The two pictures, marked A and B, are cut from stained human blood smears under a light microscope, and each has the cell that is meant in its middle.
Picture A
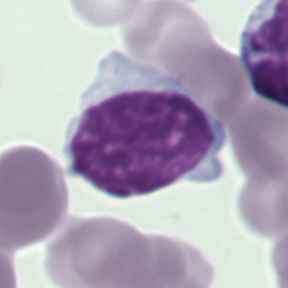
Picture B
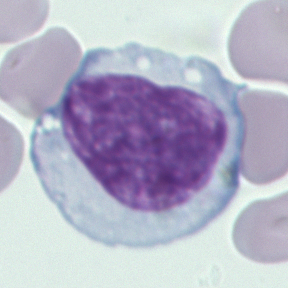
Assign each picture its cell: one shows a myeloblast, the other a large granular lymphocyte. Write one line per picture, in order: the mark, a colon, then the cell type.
A: large granular lymphocyte
B: myeloblast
